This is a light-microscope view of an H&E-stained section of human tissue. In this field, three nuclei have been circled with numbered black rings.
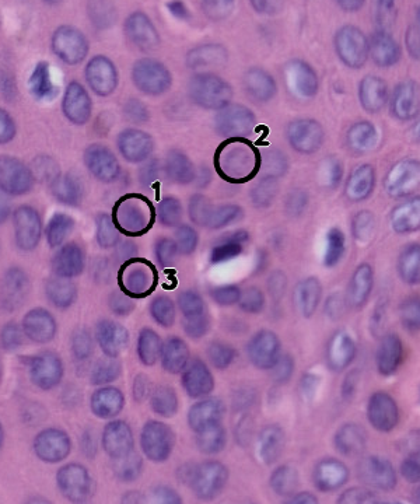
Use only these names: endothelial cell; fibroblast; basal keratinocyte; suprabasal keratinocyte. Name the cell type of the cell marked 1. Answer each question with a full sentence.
Within this field of view, the cell labelled 1 is a basal keratinocyte.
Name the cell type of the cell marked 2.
Marked with the number 2, this cell is a suprabasal keratinocyte.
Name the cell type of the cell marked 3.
Numbered cell 3 is a basal keratinocyte in this tissue section.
